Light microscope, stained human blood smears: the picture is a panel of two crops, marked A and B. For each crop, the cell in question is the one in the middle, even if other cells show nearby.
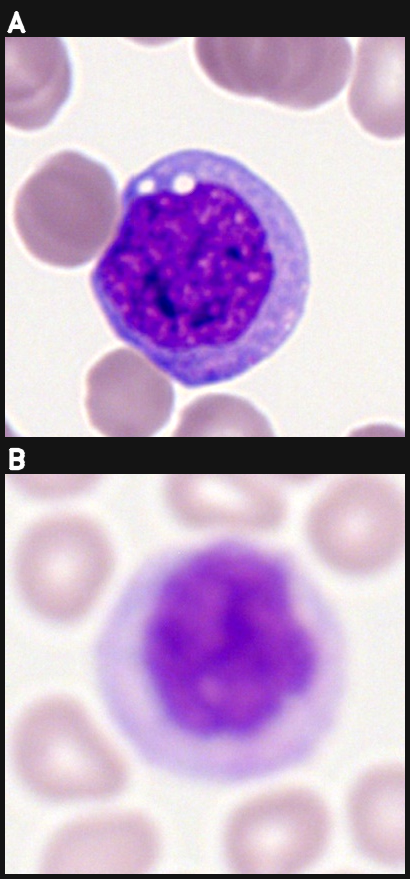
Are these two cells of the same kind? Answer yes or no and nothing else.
yes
